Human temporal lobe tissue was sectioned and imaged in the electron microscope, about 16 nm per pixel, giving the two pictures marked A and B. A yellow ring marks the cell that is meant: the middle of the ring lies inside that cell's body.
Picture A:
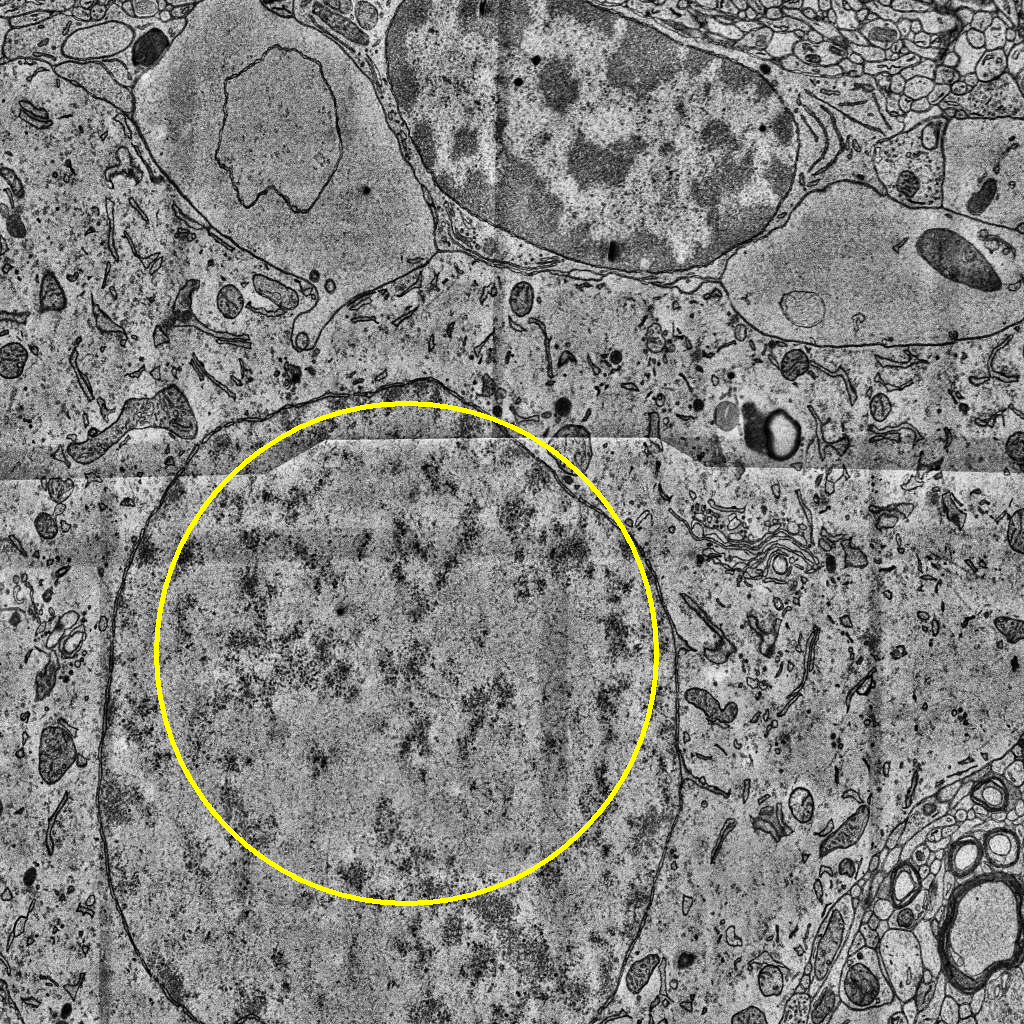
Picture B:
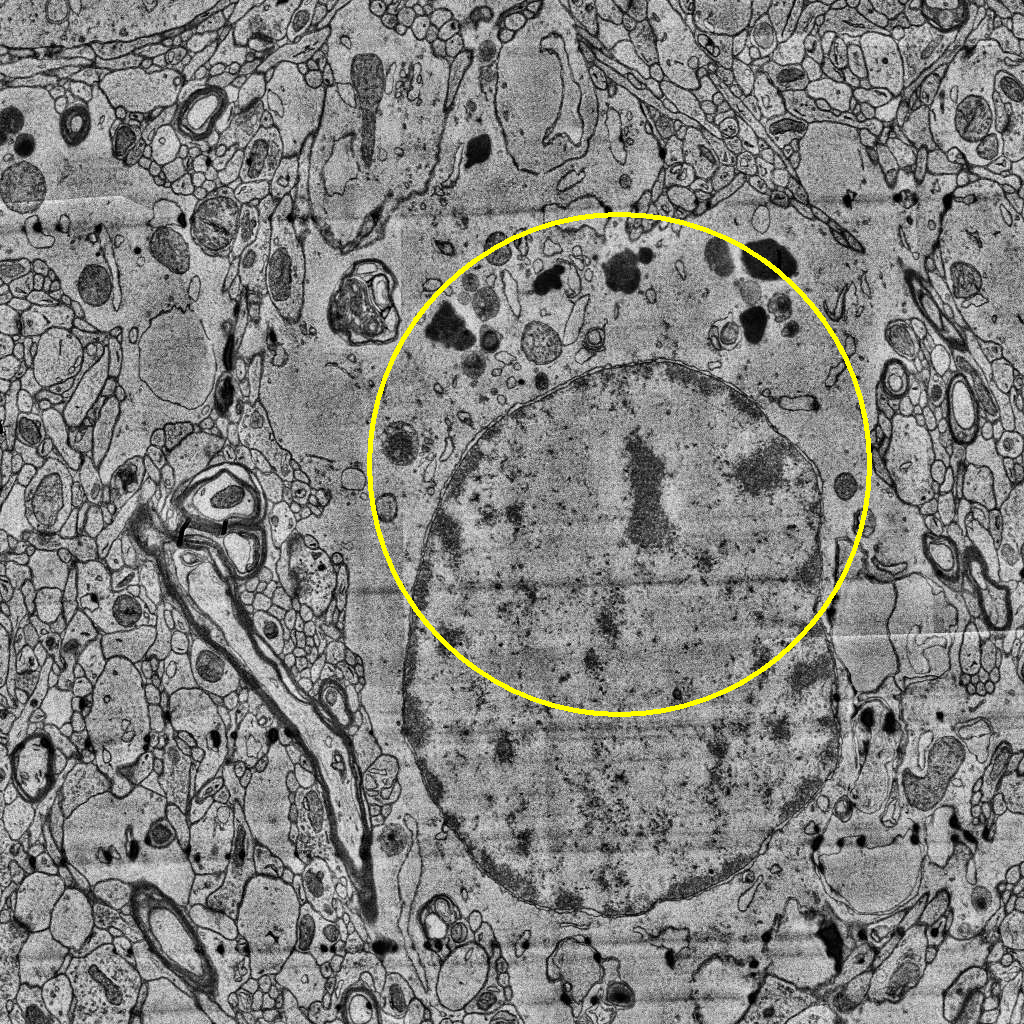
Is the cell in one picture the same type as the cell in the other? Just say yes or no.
no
